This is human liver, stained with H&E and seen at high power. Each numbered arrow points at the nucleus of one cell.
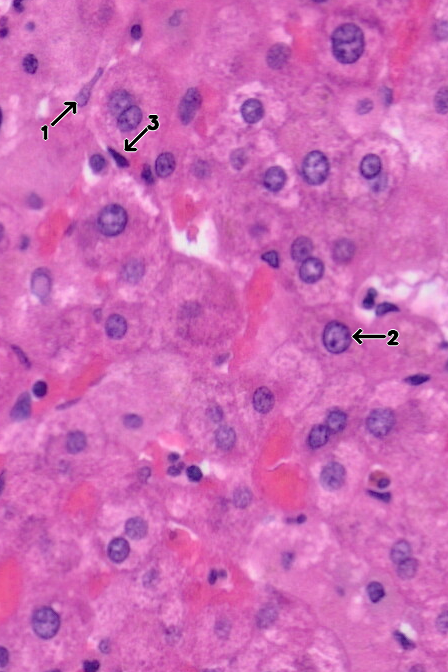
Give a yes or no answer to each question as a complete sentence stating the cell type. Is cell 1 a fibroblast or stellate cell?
No, the cell that carries number 1 is a Kupffer cell, not a fibroblast or stellate cell.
